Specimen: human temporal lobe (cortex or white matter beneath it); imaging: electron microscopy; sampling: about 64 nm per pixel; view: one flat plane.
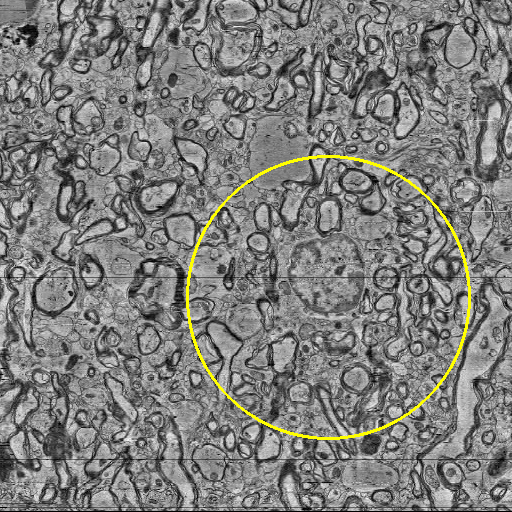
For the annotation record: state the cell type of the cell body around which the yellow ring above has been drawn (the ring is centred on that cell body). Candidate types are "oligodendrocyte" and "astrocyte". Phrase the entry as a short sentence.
The ringed cell is an oligodendrocyte.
